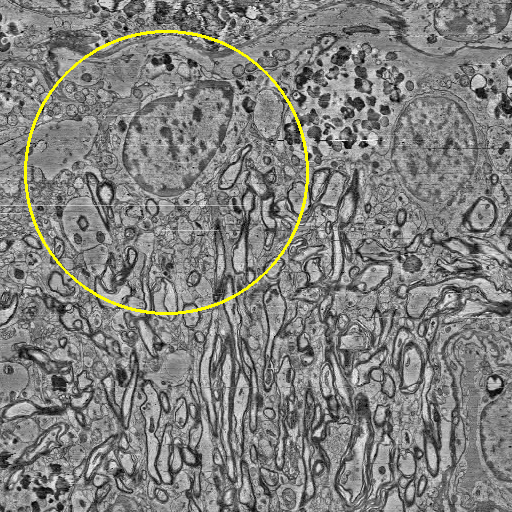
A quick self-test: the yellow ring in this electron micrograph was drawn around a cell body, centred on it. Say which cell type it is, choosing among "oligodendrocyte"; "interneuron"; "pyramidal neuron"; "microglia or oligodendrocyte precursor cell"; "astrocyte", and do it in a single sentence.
The yellow-ringed cell is a microglial cell or oligodendrocyte precursor cell.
